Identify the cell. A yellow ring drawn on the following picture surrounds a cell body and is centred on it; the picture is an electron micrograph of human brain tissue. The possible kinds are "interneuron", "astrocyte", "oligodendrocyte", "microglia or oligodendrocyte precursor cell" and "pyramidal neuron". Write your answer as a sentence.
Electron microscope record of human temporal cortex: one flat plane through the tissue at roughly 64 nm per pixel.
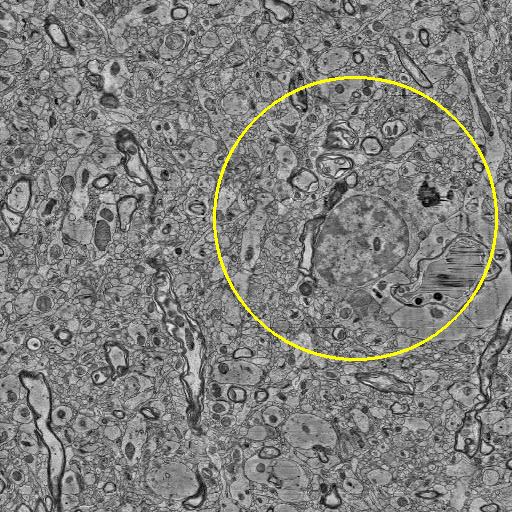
The cell identified by the ring is an oligodendrocyte.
